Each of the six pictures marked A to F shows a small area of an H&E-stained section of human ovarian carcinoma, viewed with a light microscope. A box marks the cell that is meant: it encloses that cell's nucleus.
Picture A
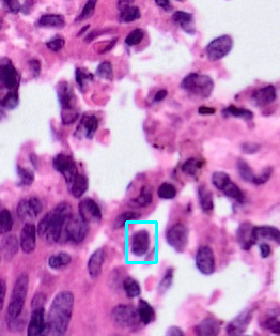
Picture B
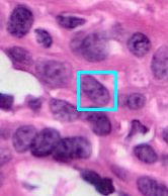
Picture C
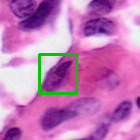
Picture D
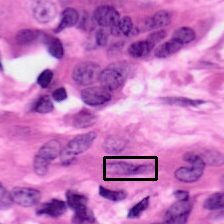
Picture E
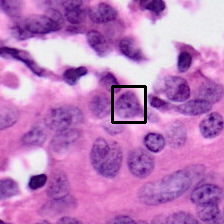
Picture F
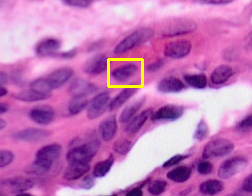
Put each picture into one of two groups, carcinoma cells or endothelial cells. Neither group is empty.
A: carcinoma cell
B: carcinoma cell
C: endothelial cell
D: endothelial cell
E: carcinoma cell
F: endothelial cell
